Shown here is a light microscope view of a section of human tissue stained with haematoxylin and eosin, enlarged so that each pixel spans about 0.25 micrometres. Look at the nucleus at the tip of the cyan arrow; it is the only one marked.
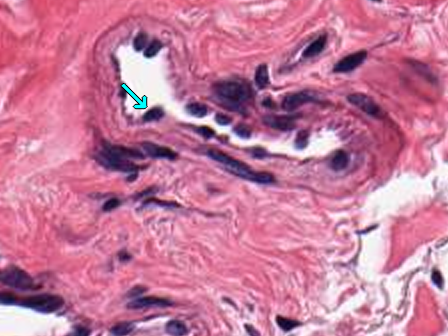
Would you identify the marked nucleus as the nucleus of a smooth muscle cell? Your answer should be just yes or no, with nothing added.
no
